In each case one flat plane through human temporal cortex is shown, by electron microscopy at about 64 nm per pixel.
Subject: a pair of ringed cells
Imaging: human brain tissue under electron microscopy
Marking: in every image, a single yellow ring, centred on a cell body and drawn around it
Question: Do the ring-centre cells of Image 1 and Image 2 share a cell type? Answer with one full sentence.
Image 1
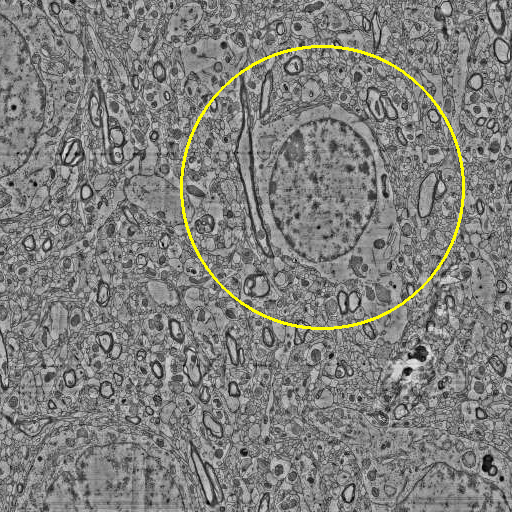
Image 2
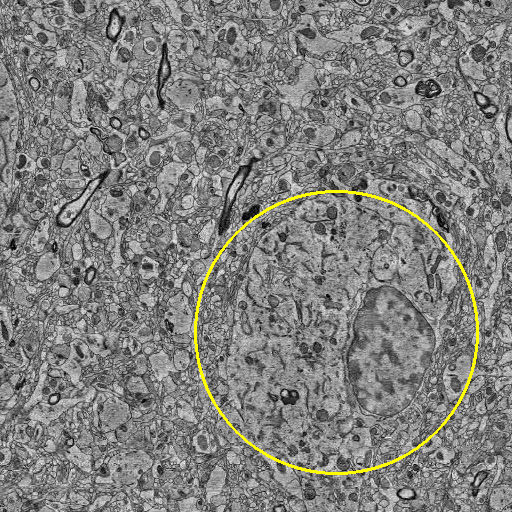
No, at the ring centres in the images sit cells of two separate types.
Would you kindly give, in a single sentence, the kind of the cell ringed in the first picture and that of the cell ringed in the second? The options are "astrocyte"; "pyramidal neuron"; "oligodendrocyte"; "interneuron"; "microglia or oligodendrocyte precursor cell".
The second cell is a microglial cell or oligodendrocyte precursor cell, and the first cell is an astrocyte.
